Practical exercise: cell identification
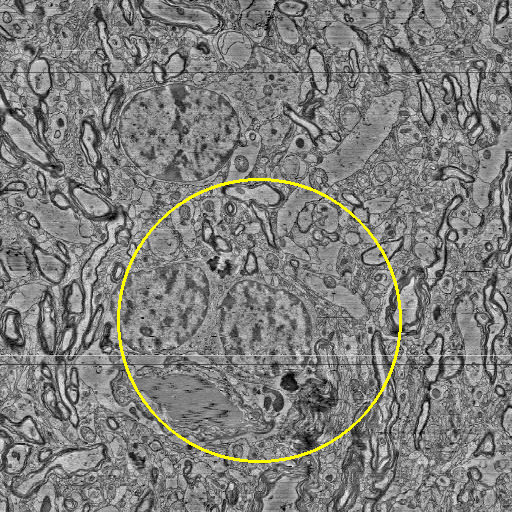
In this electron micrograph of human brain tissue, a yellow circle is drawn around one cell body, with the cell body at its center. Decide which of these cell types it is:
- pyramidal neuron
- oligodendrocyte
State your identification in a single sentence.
The ringed cell is an oligodendrocyte.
